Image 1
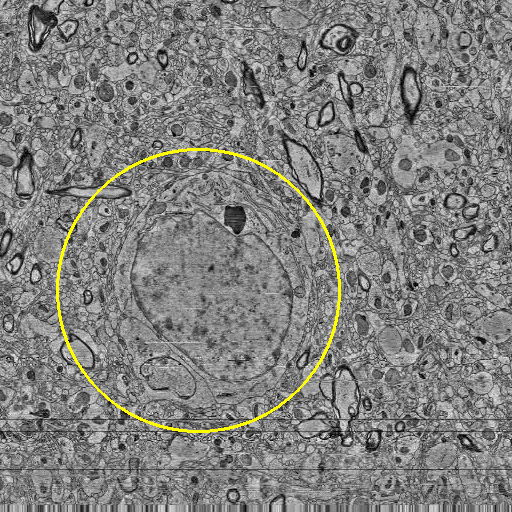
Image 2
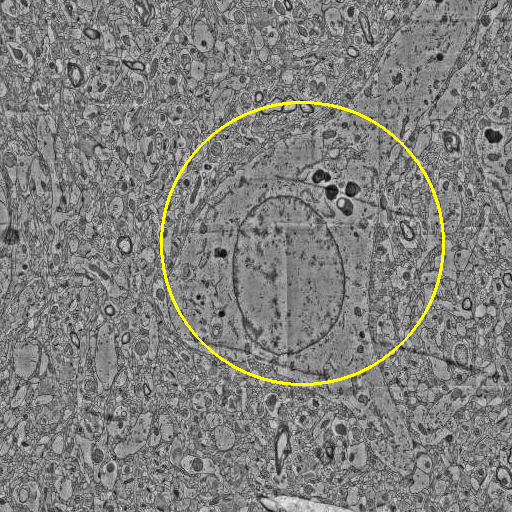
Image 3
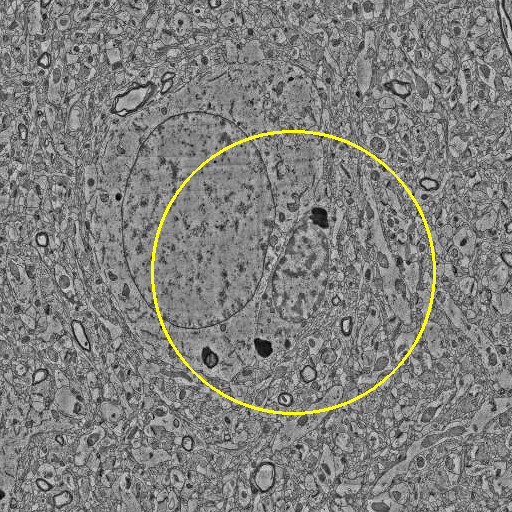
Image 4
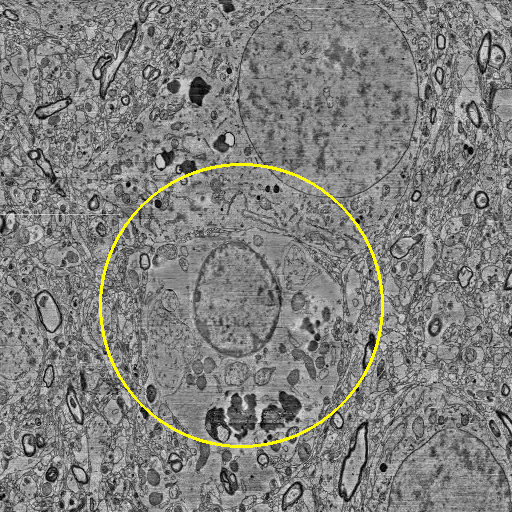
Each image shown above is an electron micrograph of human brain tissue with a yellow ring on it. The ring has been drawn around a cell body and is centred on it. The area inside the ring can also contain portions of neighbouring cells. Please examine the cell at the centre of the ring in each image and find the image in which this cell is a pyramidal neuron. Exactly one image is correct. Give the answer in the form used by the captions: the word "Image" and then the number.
Image 2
